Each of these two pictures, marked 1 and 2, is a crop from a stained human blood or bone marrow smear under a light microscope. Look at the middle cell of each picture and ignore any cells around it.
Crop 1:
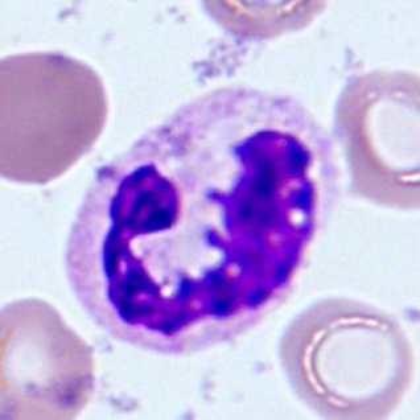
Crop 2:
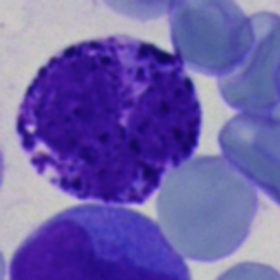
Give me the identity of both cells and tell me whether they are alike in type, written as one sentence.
No, the correct reading is a segmented neutrophil in crop 1 and a basophil in crop 2.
